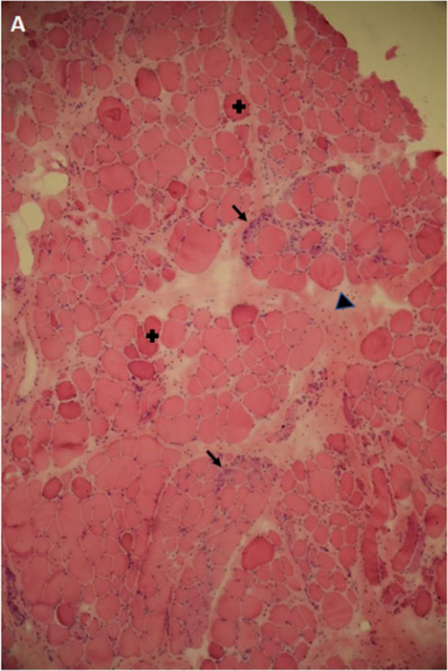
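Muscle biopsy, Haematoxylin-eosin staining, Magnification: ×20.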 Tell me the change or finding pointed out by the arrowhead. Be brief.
Increased fibrosis tissue.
